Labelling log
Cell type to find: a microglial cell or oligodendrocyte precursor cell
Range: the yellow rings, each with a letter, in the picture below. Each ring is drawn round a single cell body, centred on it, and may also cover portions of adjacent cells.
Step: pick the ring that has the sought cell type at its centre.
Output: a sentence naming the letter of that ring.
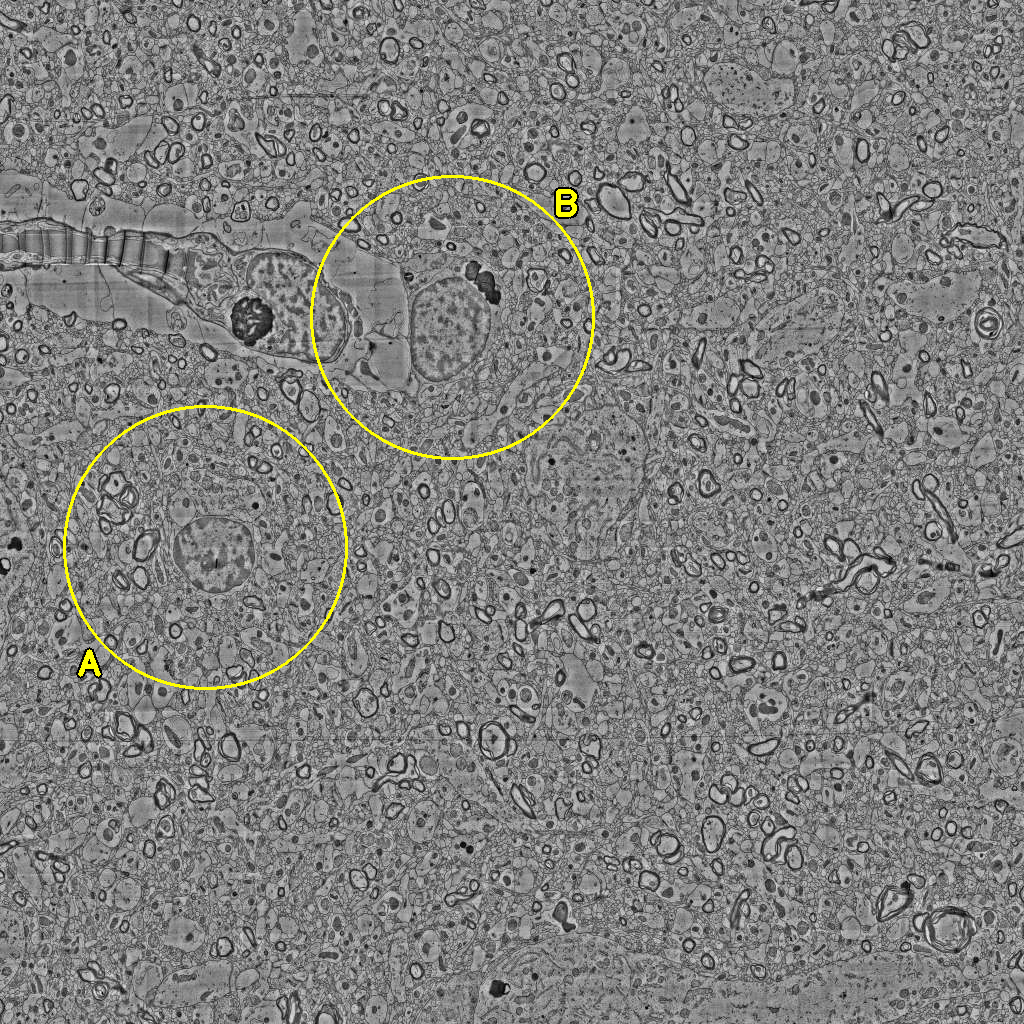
Ring A is the one with the cell asked for at its centre.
